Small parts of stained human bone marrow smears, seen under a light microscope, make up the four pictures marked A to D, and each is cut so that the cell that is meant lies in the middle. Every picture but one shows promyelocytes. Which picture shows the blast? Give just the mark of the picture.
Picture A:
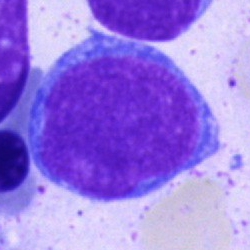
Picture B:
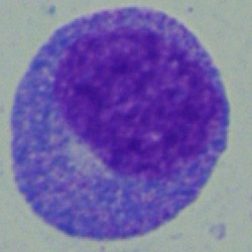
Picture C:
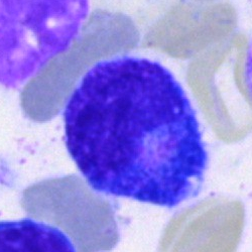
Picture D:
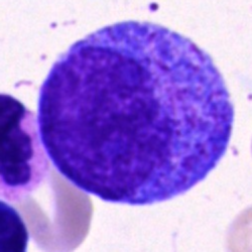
A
